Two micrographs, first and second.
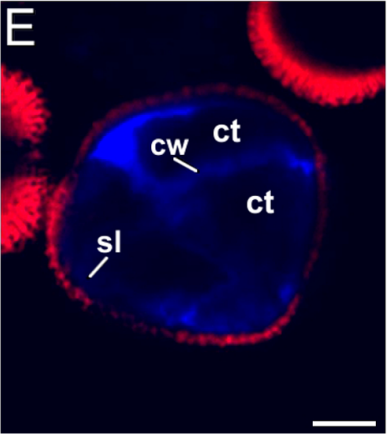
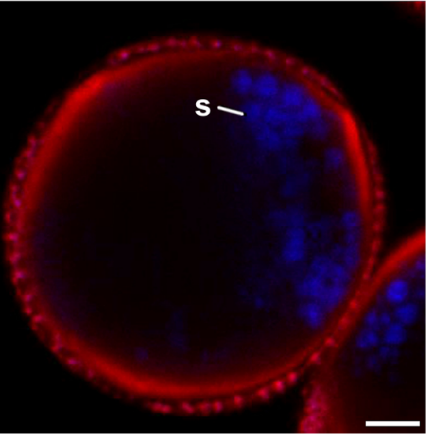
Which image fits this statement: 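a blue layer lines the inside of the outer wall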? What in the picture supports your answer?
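Second image: a smooth red layer lies under the exine and no blue layer lines the wall. First image: a blue layer lines the inside of the exine and no red inner layer is seen. That points to this answer: the first image.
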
